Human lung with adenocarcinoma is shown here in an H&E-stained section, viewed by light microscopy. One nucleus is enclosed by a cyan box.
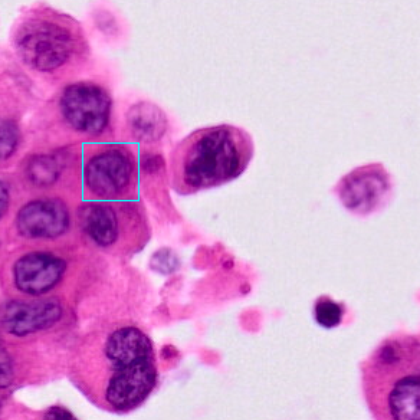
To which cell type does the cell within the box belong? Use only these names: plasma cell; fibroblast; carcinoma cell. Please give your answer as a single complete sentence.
In the context of this tissue, the cell within the box is a carcinoma cell.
